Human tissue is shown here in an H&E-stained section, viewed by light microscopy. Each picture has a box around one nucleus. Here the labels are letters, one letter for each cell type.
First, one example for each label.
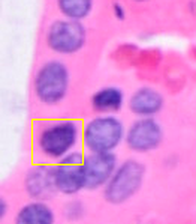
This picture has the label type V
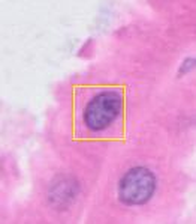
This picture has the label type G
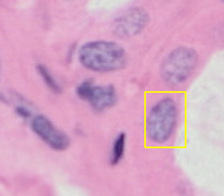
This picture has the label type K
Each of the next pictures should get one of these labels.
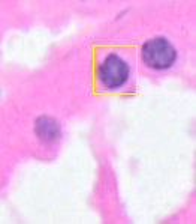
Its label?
type K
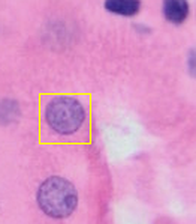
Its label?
type G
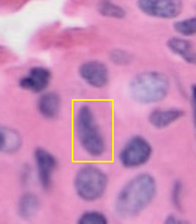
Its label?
type V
